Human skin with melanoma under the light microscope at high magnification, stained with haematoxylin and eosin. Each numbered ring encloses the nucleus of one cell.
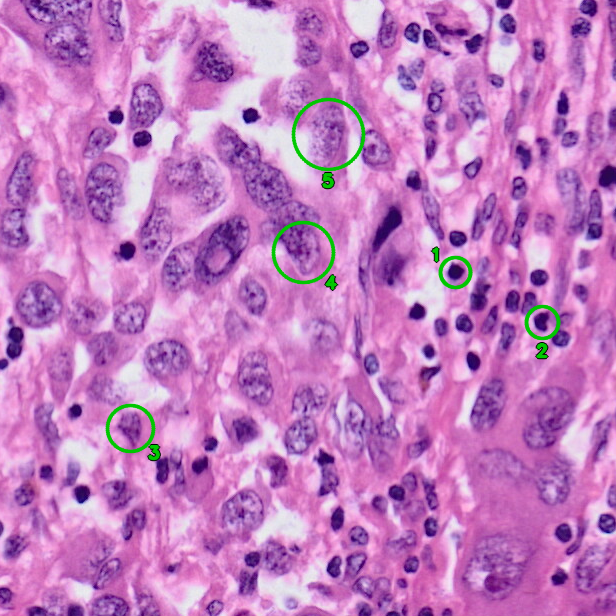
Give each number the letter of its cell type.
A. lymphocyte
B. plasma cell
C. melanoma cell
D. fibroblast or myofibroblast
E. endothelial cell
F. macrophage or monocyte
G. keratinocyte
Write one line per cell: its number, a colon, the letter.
1: A
2: A
3: C
4: C
5: C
